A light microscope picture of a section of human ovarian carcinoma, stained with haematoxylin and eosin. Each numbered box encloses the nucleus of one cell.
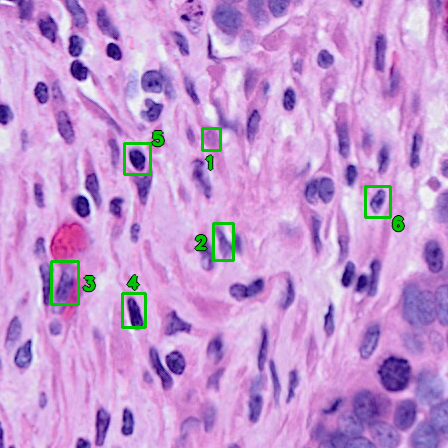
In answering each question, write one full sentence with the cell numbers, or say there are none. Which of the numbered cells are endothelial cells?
Exactly one numbered cell is an endothelial cell, and that cell is number 3.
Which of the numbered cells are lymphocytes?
Cells 4, 5 and 6 are of one type, namely lymphocytes.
